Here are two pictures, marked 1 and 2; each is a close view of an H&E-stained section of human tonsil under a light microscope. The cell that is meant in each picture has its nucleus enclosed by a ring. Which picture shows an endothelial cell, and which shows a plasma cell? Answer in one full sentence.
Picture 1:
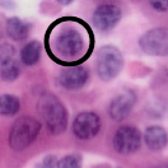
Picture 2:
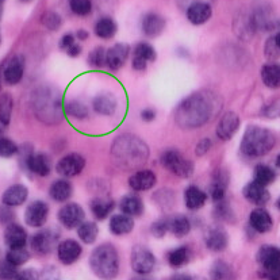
Picture 2 shows an endothelial cell, while picture 1 shows a plasma cell.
